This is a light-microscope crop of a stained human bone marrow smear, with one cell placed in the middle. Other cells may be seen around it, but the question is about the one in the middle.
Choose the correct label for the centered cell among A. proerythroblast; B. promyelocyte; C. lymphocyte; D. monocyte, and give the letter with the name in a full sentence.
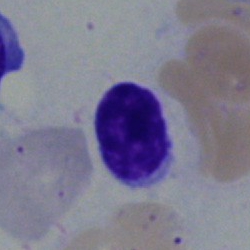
The cell in the middle is a lymphocyte, so option C is correct.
